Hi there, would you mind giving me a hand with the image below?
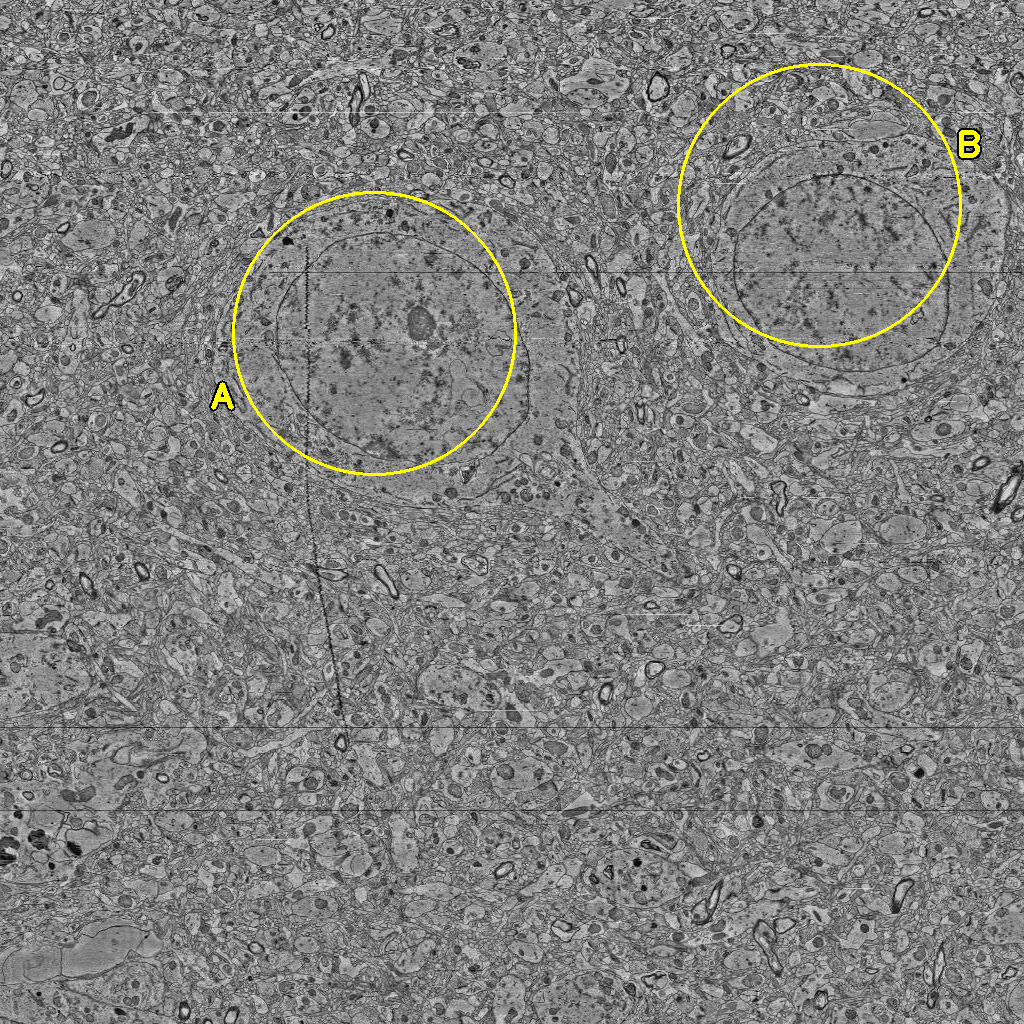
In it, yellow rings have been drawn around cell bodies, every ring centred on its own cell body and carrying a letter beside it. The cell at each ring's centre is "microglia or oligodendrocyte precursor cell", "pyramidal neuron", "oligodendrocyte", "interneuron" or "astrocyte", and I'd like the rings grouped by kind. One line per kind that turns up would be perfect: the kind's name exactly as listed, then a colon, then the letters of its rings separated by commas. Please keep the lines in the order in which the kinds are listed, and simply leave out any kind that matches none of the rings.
pyramidal neuron: A, B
